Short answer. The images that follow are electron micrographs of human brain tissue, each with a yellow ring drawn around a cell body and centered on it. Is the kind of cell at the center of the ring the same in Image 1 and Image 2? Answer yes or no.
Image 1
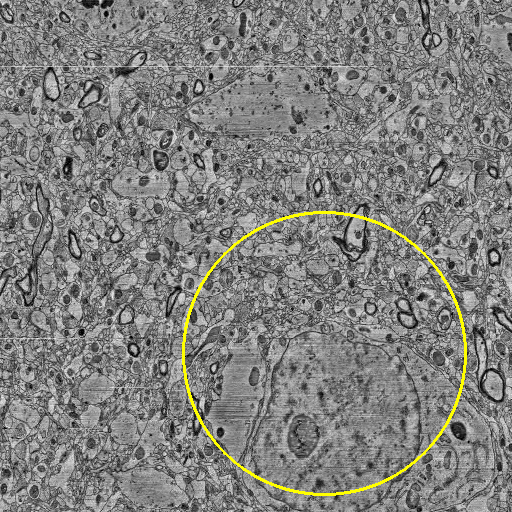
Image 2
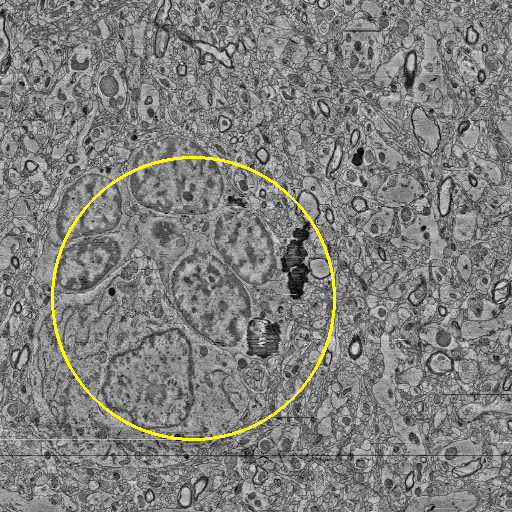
no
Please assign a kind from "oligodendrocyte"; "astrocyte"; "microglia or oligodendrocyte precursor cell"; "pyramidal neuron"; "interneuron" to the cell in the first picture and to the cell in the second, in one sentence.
In the first picture we have an interneuron, and in the second, an oligodendrocyte.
